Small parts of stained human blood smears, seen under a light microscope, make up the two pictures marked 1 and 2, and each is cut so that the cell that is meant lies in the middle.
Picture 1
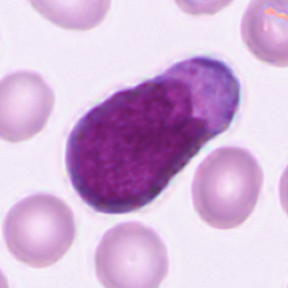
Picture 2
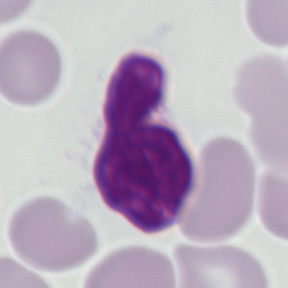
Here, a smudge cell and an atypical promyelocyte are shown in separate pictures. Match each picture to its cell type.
1: atypical promyelocyte
2: smudge cell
